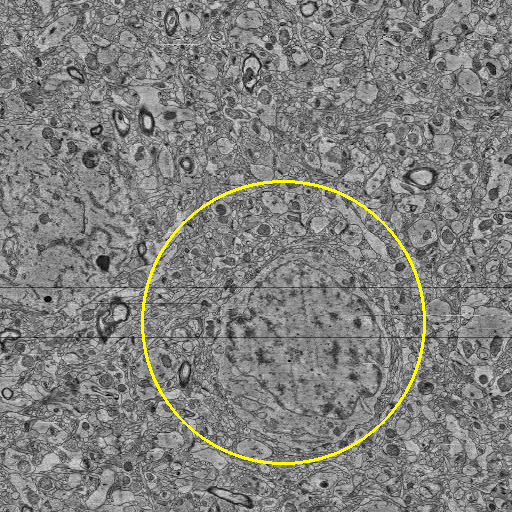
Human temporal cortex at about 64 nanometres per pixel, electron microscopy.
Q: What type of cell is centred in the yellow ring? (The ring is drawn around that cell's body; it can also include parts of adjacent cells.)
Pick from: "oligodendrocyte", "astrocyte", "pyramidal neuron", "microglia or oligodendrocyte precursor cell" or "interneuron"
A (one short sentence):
The yellow ring is centred on an interneuron.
